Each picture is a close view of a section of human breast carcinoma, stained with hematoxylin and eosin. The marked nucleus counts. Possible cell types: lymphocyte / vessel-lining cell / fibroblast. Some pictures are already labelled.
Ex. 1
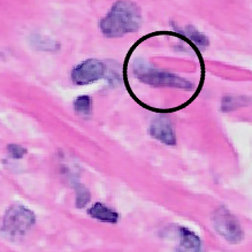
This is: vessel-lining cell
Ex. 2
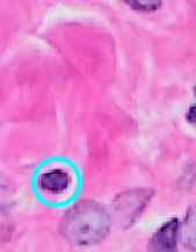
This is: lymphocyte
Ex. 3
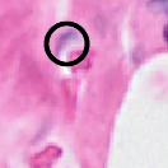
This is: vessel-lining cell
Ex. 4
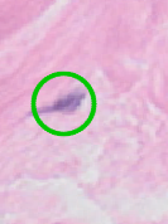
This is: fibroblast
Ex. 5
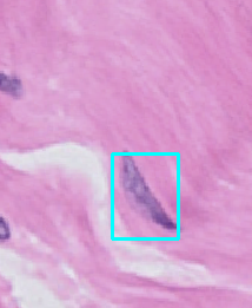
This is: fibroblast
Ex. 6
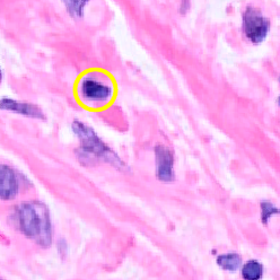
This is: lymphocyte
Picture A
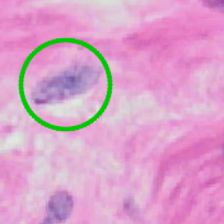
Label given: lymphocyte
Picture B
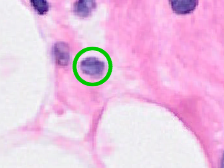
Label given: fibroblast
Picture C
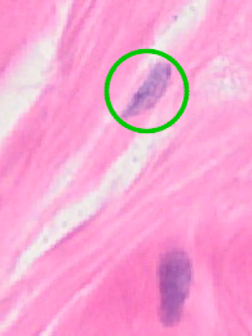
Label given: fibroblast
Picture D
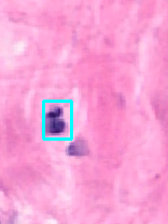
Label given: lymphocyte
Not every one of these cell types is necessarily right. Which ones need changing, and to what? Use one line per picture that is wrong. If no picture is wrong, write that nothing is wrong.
A is labelled lymphocyte; correct label: fibroblast
B is labelled fibroblast; correct label: lymphocyte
